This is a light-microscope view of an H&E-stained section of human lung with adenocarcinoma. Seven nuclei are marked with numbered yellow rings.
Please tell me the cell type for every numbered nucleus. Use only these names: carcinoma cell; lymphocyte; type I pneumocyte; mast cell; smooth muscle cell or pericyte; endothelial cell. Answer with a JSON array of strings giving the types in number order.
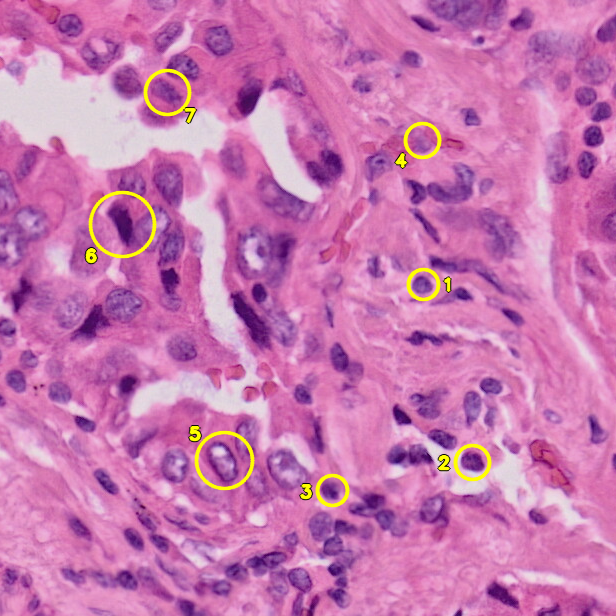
["lymphocyte", "lymphocyte", "lymphocyte", "endothelial cell", "carcinoma cell", "carcinoma cell", "carcinoma cell"]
